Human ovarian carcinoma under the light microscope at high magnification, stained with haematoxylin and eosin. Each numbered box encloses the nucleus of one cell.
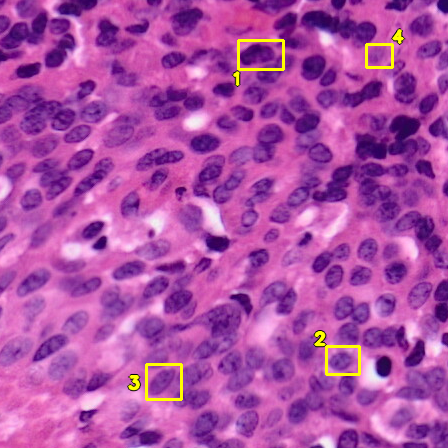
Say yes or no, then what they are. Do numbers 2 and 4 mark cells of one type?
No, whereas cell 4 is a carcinoma cell, cell 2 is a macrophage or monocyte.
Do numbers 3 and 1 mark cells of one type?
Yes, the two cells marked 3 and 1 are both carcinoma cells.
